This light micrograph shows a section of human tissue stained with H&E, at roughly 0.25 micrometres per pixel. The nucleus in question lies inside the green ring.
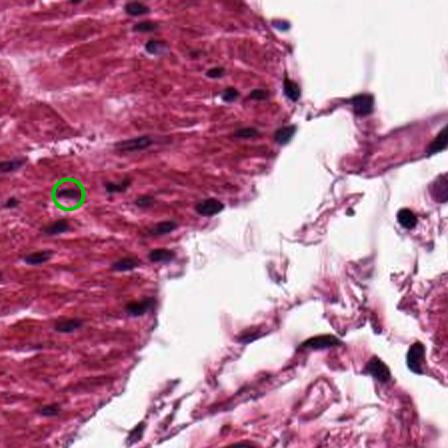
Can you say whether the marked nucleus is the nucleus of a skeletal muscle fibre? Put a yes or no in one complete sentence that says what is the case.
No, the marked nucleus does not lie within a skeletal muscle fibre.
